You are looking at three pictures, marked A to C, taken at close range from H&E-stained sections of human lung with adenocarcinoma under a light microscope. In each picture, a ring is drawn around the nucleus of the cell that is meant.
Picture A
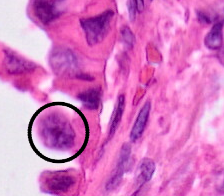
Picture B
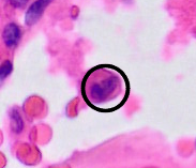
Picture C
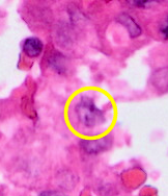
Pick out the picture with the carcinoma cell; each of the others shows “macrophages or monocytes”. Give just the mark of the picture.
A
